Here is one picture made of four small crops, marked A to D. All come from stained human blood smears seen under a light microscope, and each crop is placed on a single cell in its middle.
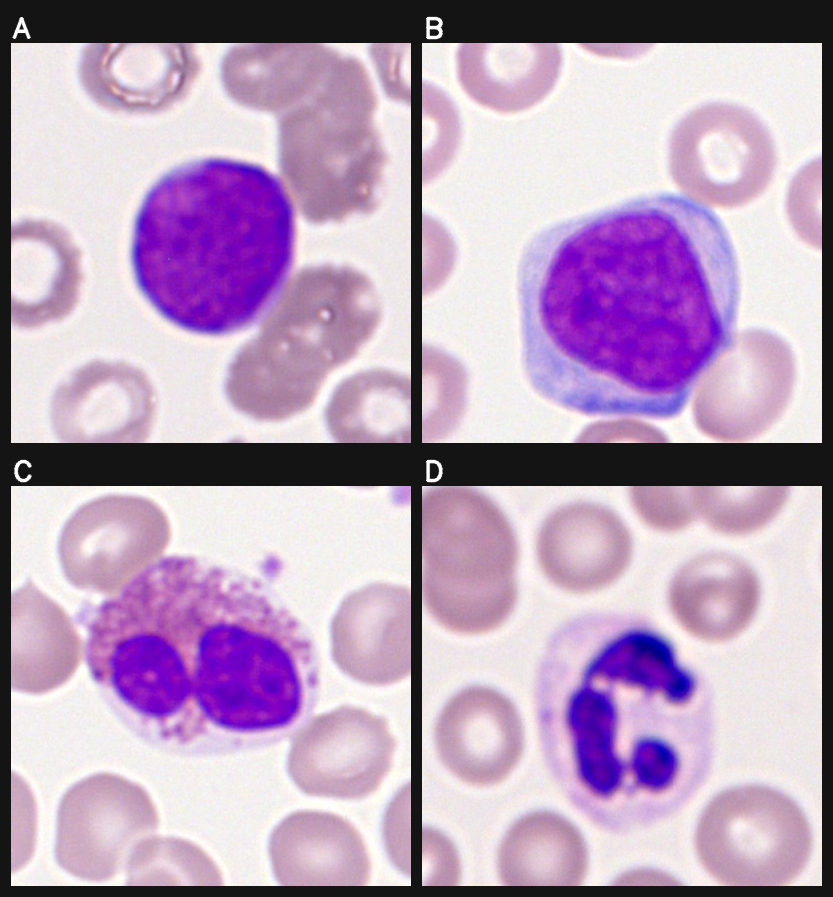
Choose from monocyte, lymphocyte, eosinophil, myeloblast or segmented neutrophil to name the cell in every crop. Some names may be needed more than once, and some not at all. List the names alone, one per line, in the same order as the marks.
myeloblast
myeloblast
eosinophil
segmented neutrophil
